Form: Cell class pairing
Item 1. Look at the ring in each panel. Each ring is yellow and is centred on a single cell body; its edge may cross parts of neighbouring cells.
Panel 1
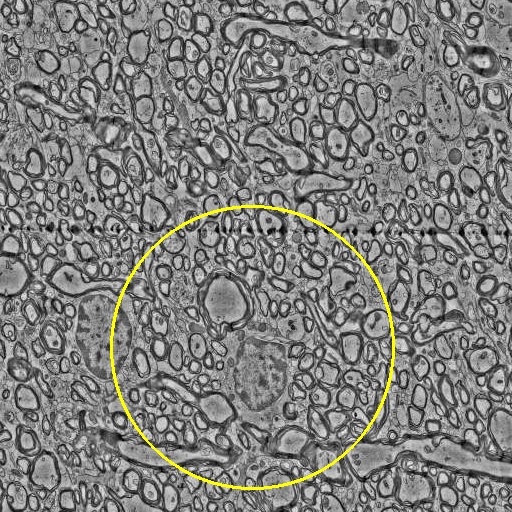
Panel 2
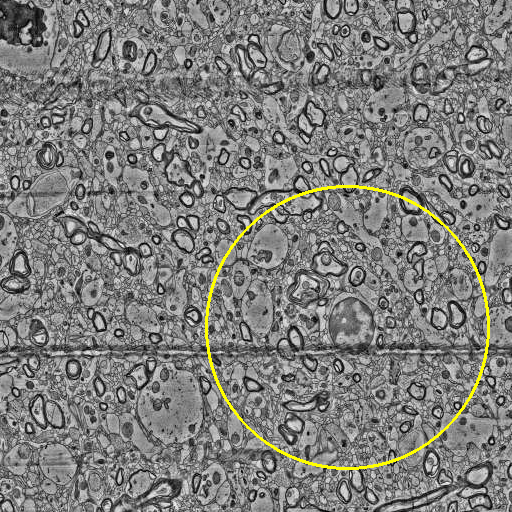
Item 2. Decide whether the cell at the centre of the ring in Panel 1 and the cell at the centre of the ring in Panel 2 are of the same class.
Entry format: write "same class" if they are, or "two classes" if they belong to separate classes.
two classes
